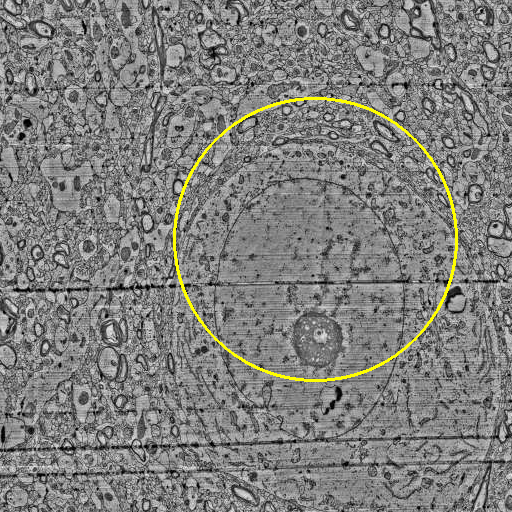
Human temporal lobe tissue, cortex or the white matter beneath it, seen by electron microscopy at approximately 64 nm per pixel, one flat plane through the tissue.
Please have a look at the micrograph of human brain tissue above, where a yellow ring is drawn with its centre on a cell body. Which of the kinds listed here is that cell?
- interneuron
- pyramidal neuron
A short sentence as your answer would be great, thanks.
At the centre of the ring sits a pyramidal neuron.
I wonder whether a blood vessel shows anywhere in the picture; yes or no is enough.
No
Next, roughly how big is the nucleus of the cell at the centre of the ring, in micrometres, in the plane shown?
The nucleus works out at approximately 17 by 14 micrometres in this plane.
